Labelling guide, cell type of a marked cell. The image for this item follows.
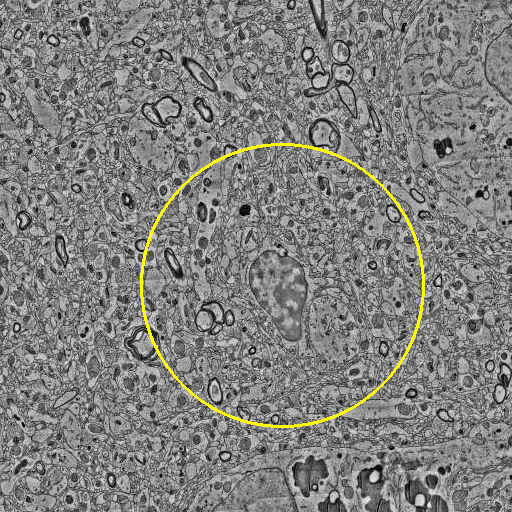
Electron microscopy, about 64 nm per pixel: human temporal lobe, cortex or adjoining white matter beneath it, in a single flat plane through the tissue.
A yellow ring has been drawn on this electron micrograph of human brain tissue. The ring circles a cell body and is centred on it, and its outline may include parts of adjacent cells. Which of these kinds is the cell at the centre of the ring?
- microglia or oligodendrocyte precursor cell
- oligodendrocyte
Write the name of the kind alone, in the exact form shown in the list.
microglia or oligodendrocyte precursor cell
